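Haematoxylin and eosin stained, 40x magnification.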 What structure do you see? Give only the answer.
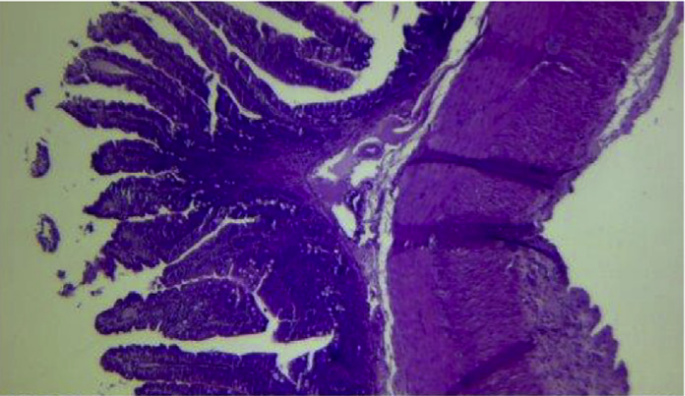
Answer: Villi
